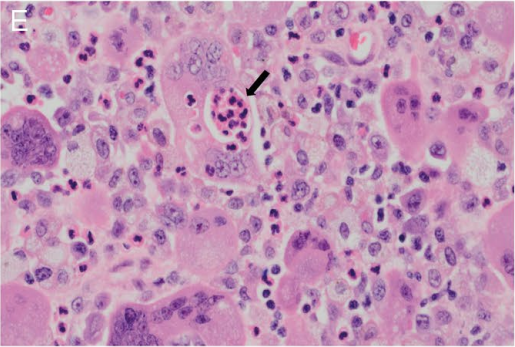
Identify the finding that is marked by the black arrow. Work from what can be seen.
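Emperipolesis. The arrow points to a cluster of small cells lying within the pink cytoplasm of a large multinucleated cell. The enclosed cells sit in a clear halo inside the larger cell.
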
